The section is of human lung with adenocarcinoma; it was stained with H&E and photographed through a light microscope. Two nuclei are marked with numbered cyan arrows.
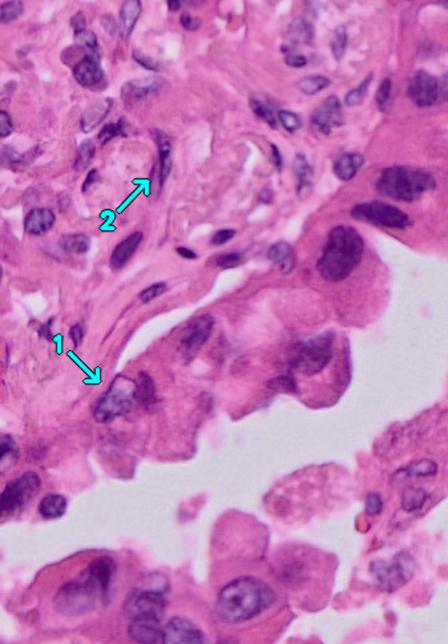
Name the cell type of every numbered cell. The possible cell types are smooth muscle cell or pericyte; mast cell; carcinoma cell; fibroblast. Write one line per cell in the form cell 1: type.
cell 1: carcinoma cell
cell 2: fibroblast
